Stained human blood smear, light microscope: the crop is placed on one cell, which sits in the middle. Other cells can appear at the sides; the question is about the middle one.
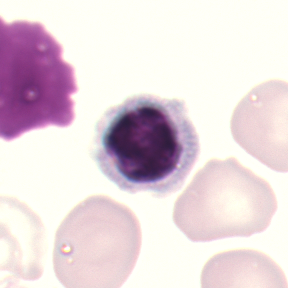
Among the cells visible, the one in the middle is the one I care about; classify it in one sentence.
The middle position in this crop is taken by an erythroblast.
